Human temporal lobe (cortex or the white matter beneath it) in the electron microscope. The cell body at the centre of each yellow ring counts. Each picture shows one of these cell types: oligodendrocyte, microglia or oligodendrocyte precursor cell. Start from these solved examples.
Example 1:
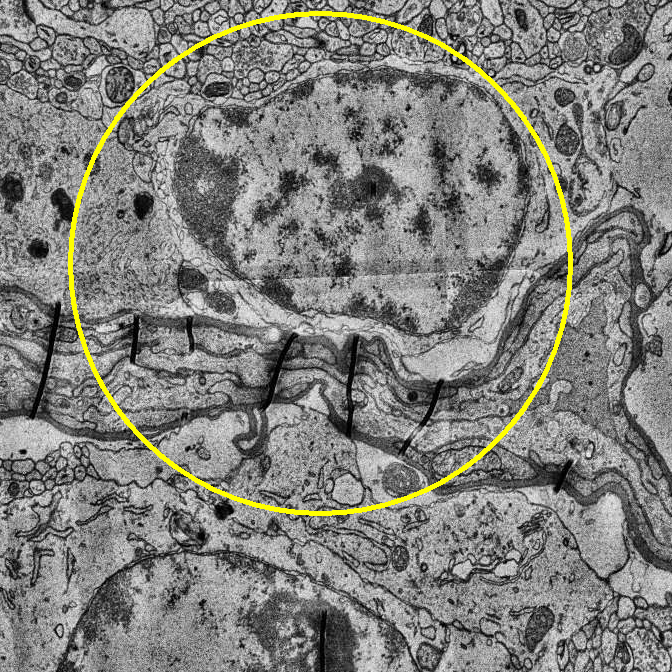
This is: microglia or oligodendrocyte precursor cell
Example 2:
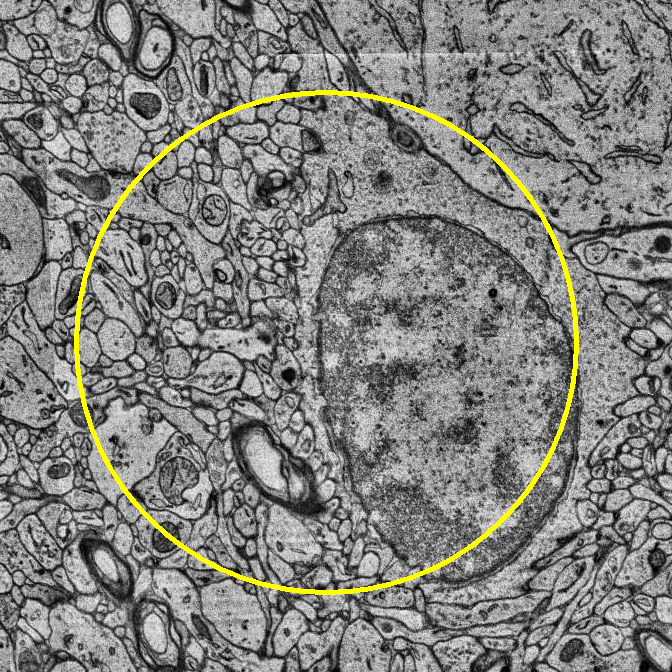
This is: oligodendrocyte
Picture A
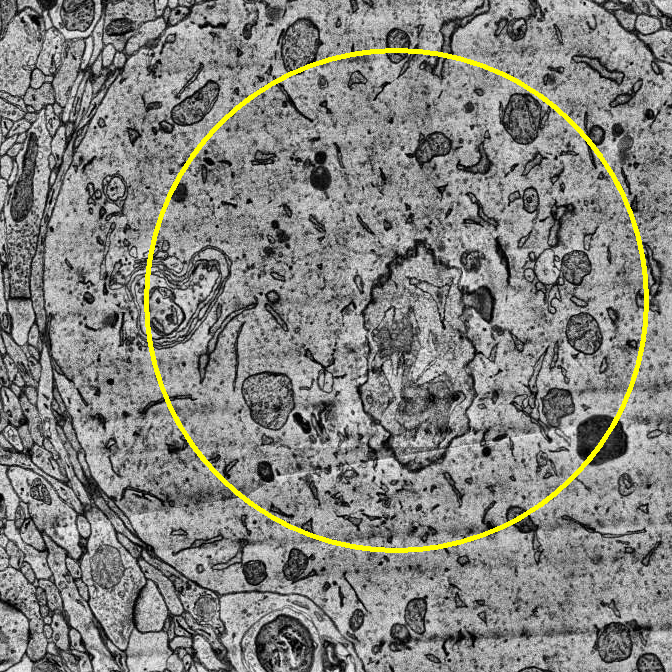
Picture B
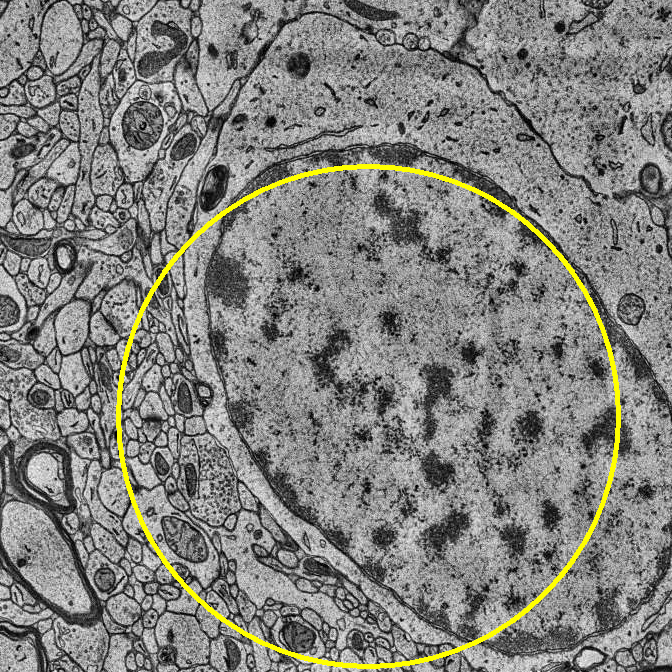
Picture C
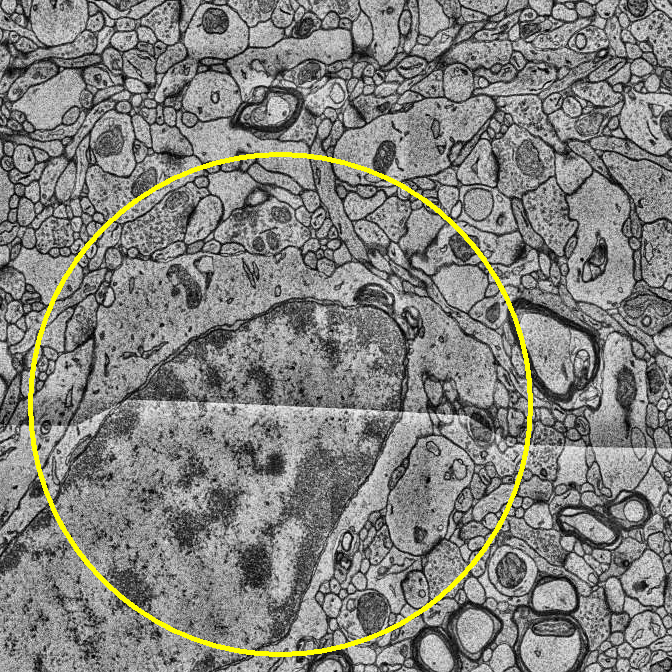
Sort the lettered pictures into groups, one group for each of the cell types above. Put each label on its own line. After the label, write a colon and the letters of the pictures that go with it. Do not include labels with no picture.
oligodendrocyte: A
microglia or oligodendrocyte precursor cell: B, C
